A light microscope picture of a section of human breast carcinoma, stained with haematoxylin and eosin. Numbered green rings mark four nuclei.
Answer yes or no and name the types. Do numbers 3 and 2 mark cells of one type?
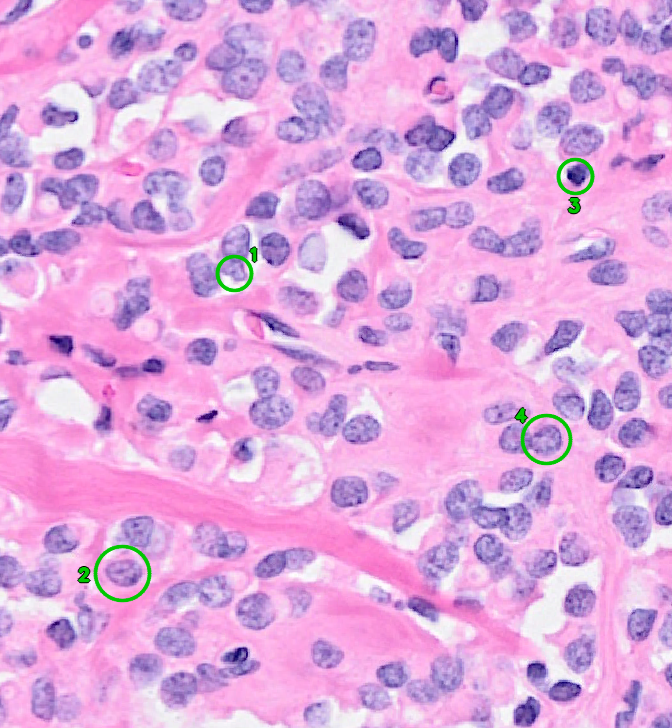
No, cell 3 is a lymphocyte and cell 2 is a carcinoma cell.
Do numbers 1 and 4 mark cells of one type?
Yes, both are carcinoma cells.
